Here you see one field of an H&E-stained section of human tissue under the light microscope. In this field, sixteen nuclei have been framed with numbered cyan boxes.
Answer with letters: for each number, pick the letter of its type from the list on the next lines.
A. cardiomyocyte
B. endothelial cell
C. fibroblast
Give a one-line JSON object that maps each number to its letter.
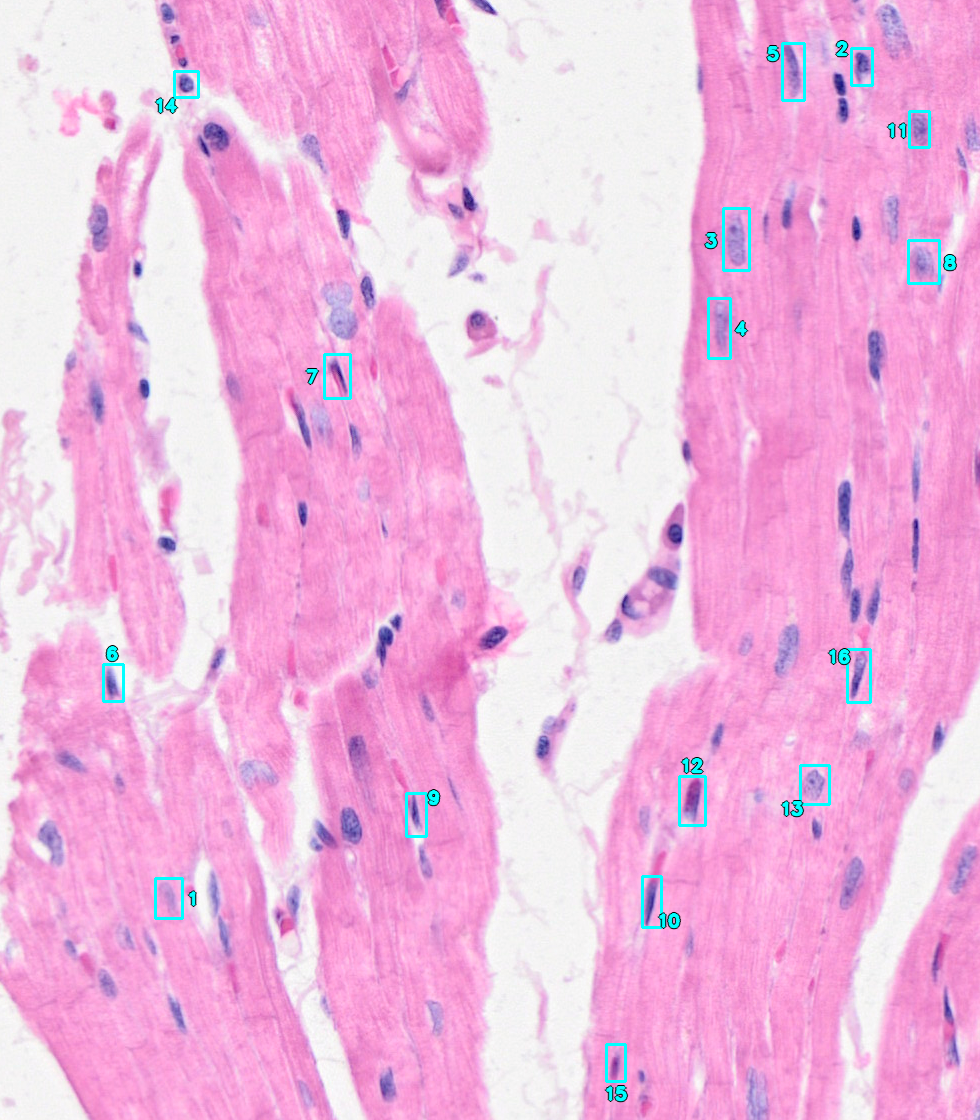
{"1": "A", "2": "B", "3": "A", "4": "A", "5": "B", "6": "B", "7": "B", "8": "A", "9": "B", "10": "B", "11": "A", "12": "B", "13": "A", "14": "C", "15": "B", "16": "B"}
